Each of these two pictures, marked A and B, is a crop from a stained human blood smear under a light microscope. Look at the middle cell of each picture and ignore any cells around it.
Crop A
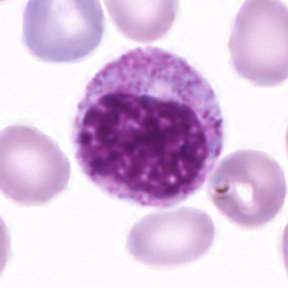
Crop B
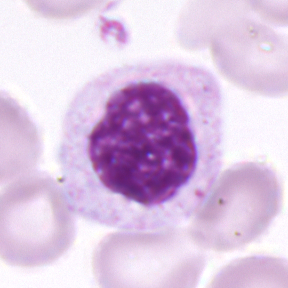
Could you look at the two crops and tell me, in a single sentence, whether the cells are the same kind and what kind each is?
No, crop A displays a myelocyte and crop B displays a metamyelocyte.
